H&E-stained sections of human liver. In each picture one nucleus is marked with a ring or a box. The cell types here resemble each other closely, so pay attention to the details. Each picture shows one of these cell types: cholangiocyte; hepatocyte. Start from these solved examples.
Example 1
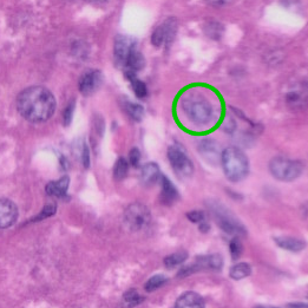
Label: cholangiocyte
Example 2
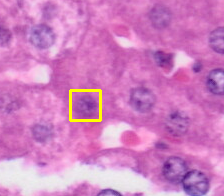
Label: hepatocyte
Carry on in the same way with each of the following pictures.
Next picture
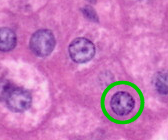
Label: hepatocyte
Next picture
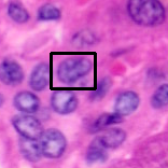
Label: cholangiocyte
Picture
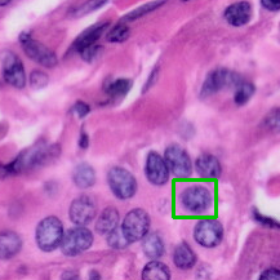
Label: cholangiocyte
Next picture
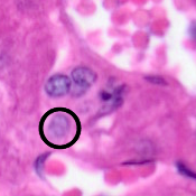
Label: cholangiocyte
